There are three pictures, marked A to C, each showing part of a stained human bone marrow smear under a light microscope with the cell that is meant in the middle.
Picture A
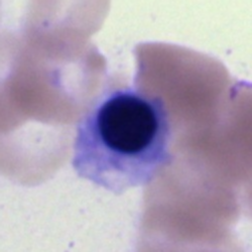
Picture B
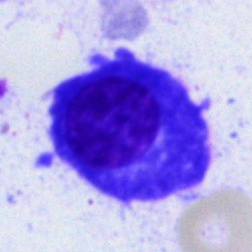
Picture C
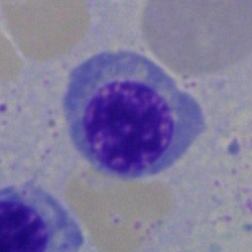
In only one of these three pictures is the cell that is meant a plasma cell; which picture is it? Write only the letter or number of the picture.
B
